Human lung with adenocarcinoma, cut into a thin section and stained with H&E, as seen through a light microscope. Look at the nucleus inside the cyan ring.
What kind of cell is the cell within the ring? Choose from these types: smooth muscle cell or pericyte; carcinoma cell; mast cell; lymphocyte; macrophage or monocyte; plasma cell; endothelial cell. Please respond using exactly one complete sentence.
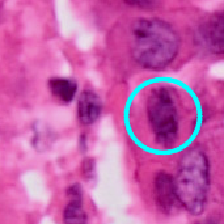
Assigned to a cell type, the cell within the ring is a carcinoma cell.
